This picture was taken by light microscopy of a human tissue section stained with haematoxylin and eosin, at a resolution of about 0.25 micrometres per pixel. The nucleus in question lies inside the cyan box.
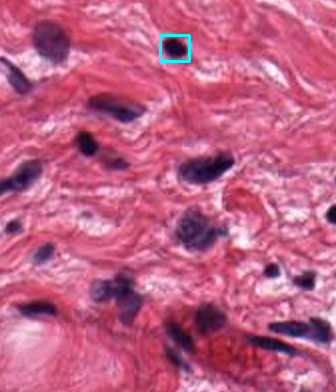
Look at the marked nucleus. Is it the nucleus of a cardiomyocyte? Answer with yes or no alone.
no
